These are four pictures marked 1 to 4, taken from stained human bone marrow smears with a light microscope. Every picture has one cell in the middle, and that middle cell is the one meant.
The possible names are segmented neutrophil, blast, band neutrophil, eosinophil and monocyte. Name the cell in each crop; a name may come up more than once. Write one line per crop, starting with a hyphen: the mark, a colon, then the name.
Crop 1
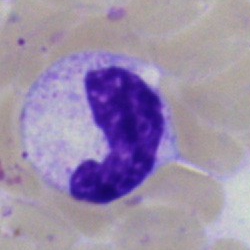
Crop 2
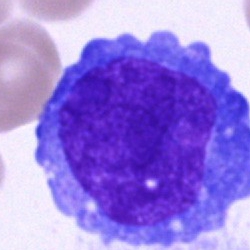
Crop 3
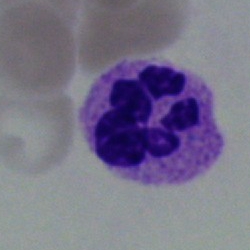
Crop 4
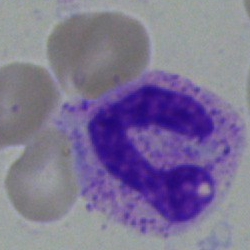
- 1: band neutrophil
- 2: blast
- 3: segmented neutrophil
- 4: band neutrophil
